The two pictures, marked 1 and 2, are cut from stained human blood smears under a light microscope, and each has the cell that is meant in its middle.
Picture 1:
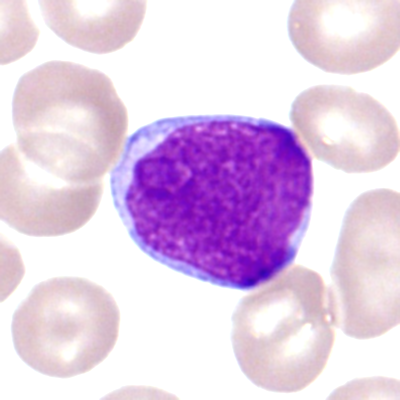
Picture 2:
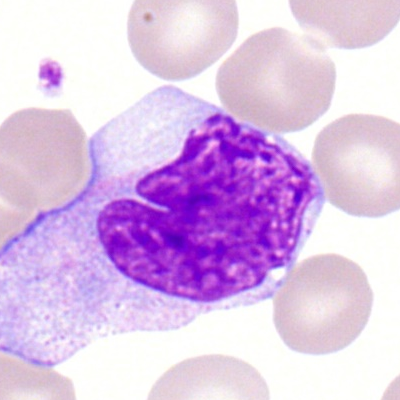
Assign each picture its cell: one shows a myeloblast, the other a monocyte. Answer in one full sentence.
The cell in picture 1 is a myeloblast, and the one in picture 2 is a monocyte.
